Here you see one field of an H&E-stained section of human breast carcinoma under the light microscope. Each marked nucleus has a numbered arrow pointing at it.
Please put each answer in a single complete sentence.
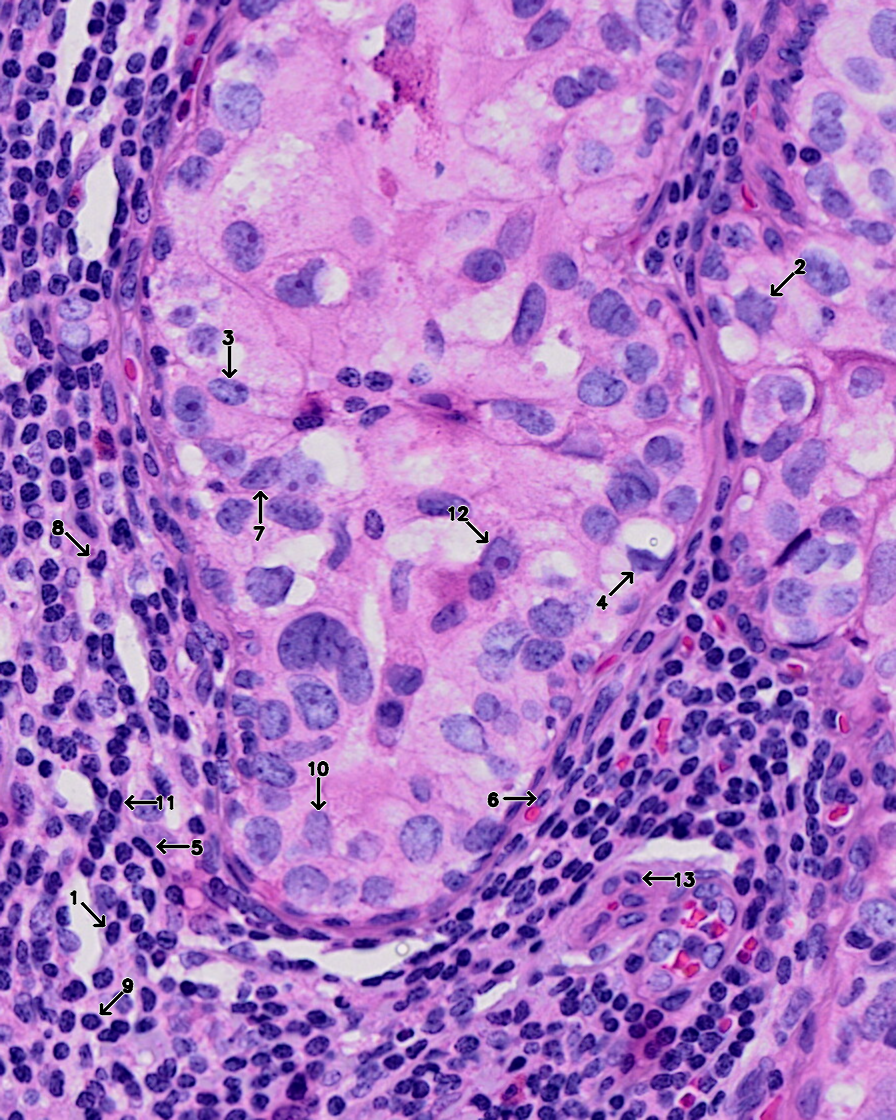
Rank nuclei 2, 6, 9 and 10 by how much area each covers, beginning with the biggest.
By area, largest first, they run 2, 10, 9, 6.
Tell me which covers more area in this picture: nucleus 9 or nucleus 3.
The larger nucleus is 3, at roughly 2.5 times the area of 9.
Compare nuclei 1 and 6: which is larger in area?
Nucleus 1 is larger, with an area about 2 times that of nucleus 6.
